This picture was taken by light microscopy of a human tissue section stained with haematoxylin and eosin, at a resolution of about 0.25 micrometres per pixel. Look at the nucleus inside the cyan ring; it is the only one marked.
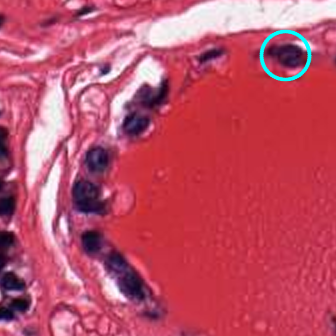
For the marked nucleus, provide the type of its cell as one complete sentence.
Marked in this picture is the nucleus of a thyroid follicular cell.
